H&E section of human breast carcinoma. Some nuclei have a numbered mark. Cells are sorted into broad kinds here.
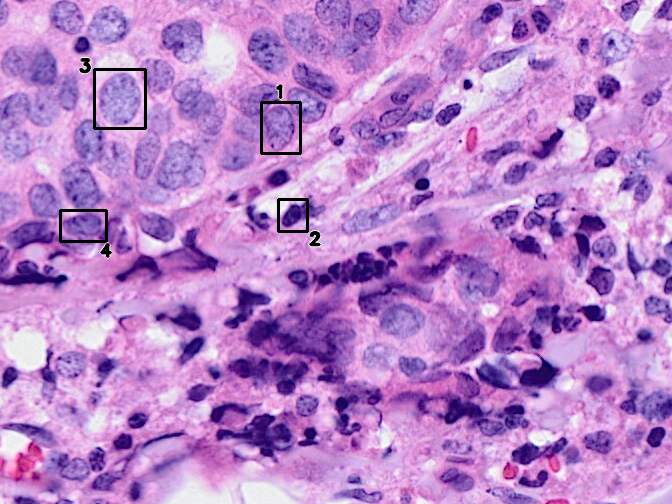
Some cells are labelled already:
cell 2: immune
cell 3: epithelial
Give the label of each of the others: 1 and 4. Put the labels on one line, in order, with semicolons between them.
epithelial; epithelial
